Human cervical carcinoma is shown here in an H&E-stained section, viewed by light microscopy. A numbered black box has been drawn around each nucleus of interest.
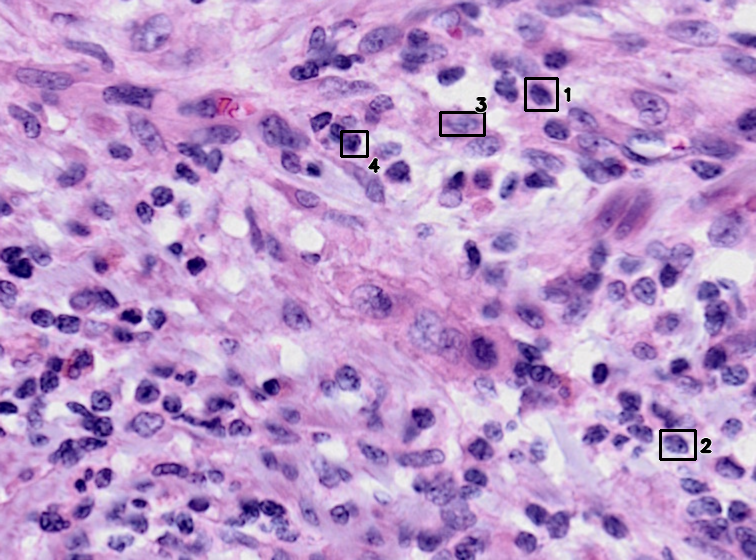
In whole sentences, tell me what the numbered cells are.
Cells 1, 2 and 4 are lymphocytes. Cell 3 is an endothelial cell.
